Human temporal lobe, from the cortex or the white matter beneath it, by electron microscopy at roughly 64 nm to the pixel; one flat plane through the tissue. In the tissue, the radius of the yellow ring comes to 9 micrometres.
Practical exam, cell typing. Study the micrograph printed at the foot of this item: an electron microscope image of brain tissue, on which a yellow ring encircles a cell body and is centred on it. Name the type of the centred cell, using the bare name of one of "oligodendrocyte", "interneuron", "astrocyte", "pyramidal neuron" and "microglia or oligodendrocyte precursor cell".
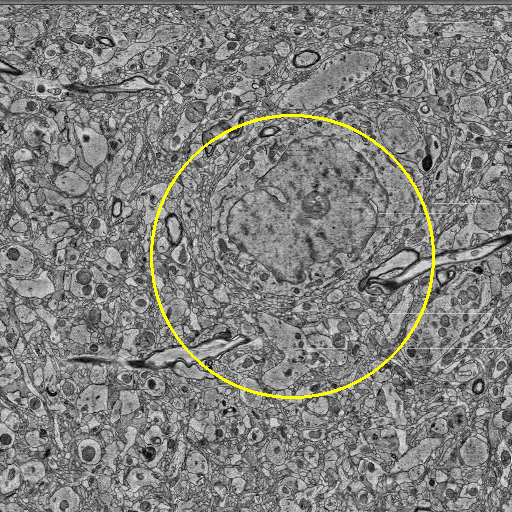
interneuron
